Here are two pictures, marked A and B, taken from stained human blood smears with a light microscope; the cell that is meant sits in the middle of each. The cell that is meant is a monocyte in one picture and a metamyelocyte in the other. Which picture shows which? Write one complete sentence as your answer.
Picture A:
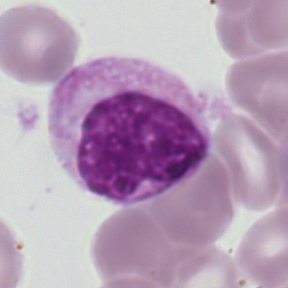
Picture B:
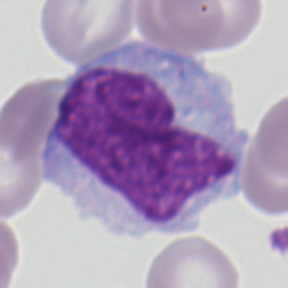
It is picture A that shows a metamyelocyte, and picture B that shows a monocyte.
